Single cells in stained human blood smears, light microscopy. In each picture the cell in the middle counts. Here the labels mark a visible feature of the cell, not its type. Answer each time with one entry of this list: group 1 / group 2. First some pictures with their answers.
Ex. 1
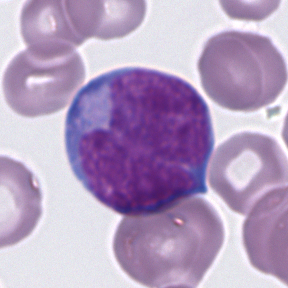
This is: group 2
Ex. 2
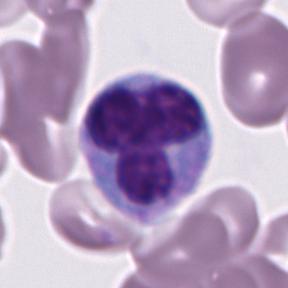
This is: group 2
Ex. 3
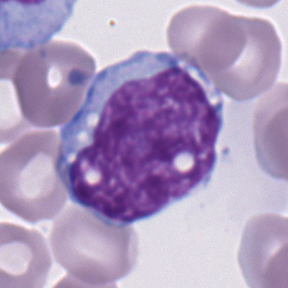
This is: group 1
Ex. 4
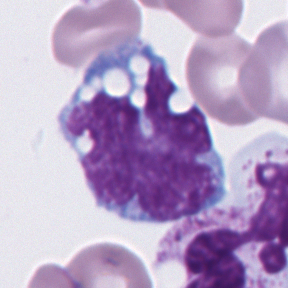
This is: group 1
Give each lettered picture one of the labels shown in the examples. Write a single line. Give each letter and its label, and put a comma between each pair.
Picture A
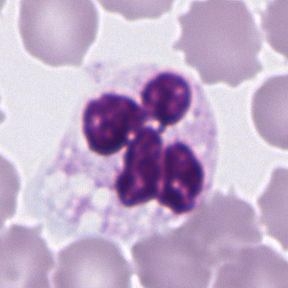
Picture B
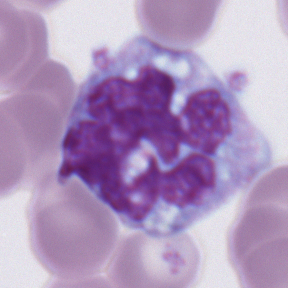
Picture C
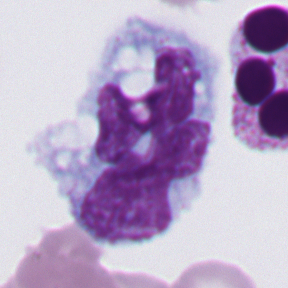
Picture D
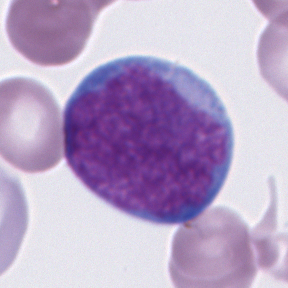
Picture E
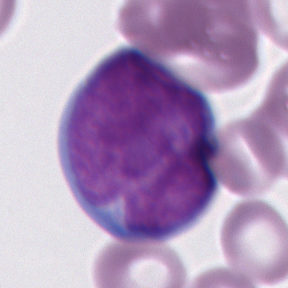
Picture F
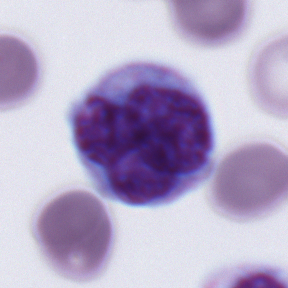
A group 1, B group 1, C group 1, D group 2, E group 2, F group 2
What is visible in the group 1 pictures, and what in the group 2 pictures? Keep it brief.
group 1, vacuoles present; group 2, no vacuoles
